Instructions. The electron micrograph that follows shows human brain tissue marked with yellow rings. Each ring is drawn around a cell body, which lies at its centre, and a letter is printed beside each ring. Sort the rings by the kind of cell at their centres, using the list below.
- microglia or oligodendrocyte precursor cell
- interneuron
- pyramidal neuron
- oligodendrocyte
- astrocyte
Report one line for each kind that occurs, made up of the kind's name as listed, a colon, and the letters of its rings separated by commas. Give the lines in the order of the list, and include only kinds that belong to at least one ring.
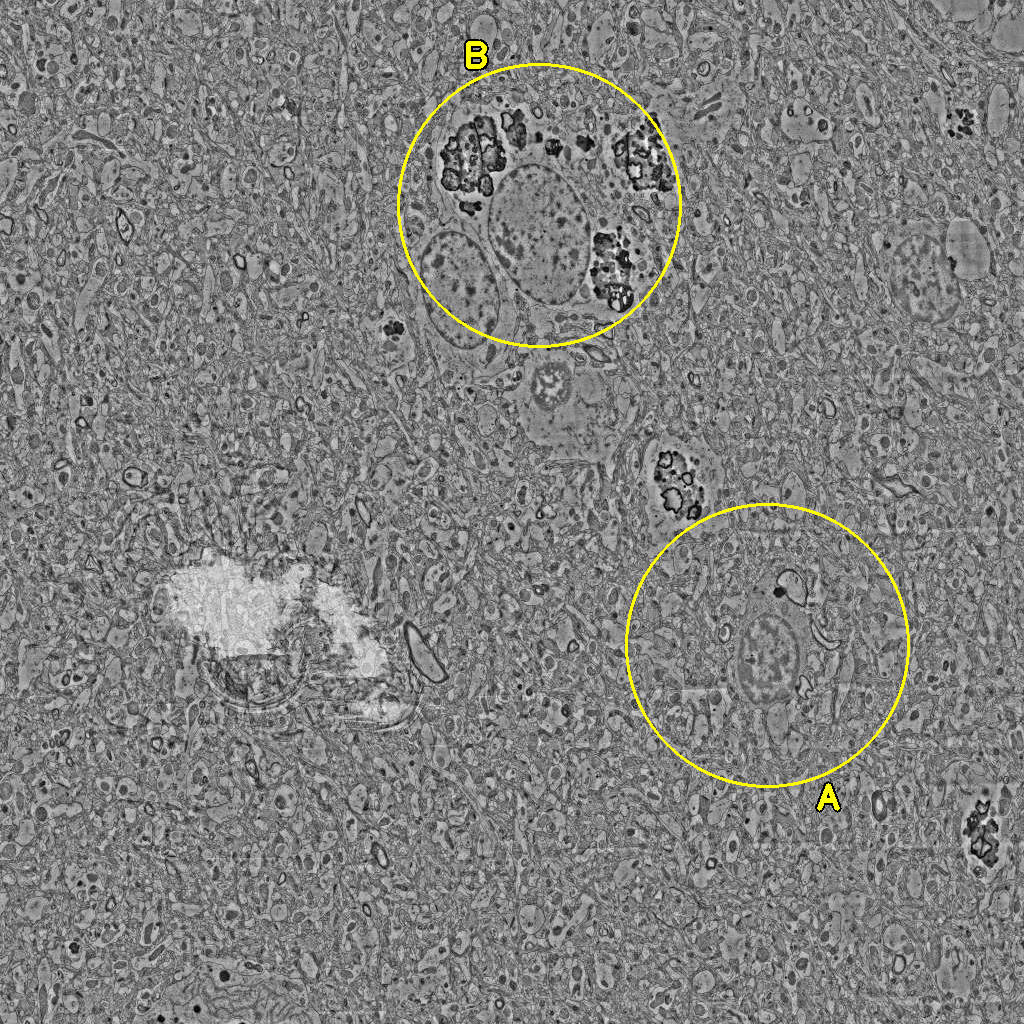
oligodendrocyte: A
astrocyte: B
